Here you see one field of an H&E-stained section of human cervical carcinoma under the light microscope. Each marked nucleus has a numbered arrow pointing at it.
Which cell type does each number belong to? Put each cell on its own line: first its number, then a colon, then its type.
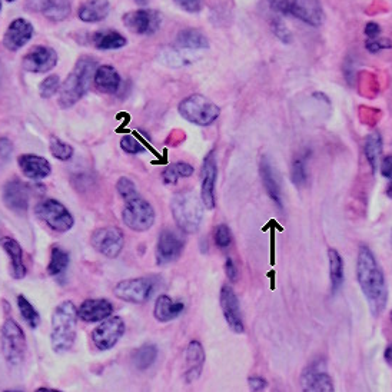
1: fibroblast
2: endothelial cell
